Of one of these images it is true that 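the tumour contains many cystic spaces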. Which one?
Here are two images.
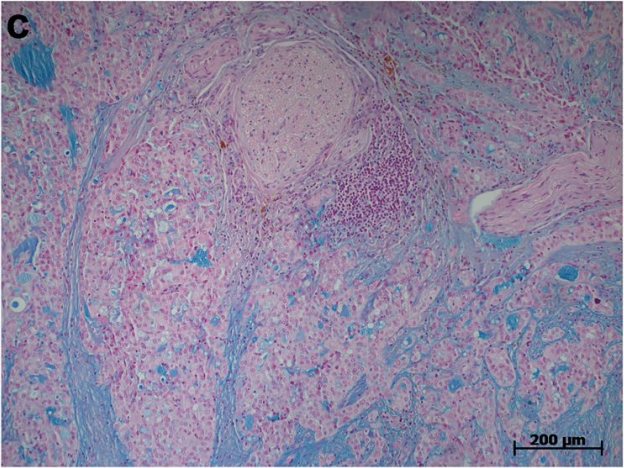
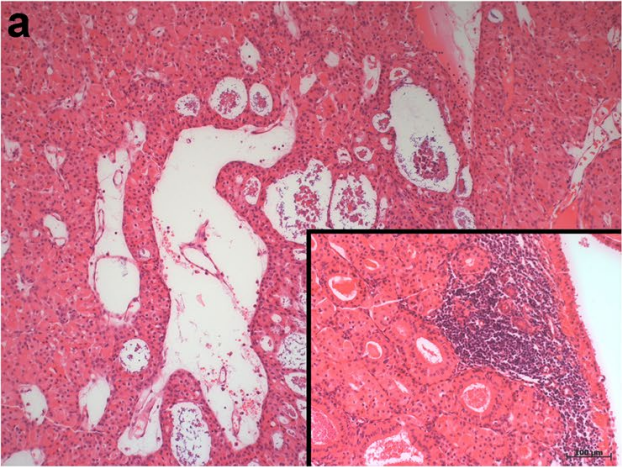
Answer: the second image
